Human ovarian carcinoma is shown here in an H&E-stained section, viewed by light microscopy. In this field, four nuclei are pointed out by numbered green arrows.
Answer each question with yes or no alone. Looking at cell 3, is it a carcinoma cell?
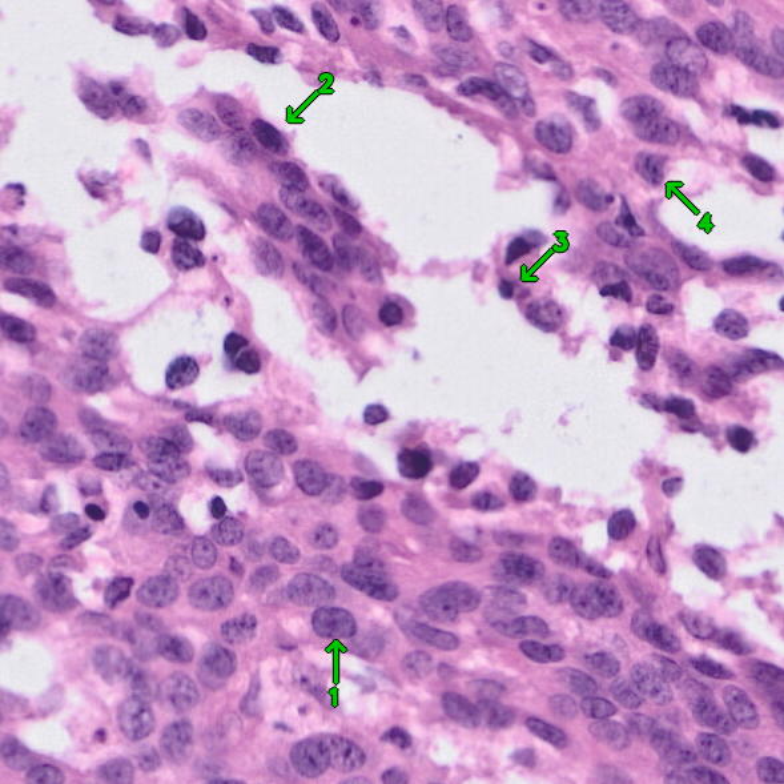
no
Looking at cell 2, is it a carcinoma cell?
yes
